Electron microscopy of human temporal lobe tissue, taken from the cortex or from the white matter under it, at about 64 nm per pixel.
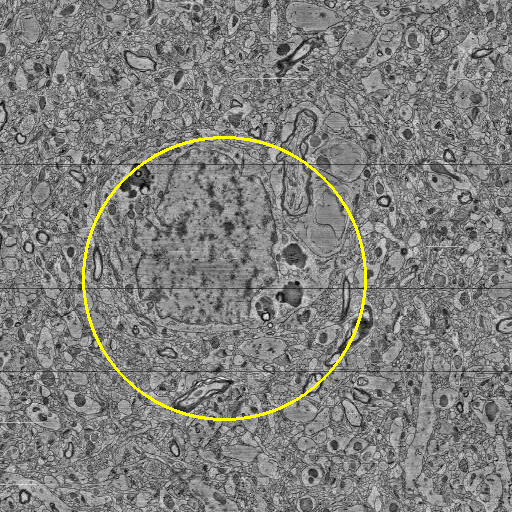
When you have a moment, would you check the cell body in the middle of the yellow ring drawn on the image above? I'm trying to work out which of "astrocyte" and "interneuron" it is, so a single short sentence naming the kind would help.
This cell body belongs to an interneuron.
